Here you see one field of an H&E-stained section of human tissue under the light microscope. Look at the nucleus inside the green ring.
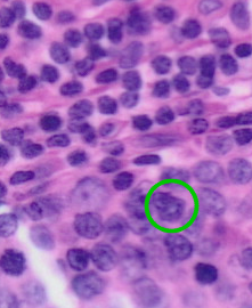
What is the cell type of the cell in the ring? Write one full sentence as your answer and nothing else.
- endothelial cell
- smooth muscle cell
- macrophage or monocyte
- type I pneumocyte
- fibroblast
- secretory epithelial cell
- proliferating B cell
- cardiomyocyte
In the tissue at hand, the cell in the ring is a proliferating B cell.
